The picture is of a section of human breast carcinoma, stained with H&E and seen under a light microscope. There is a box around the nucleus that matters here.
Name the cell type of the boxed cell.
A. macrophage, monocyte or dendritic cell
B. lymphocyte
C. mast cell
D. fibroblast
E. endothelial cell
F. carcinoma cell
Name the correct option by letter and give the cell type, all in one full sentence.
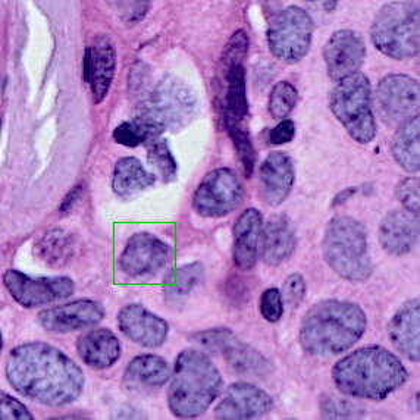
Here the right answer is F, with the boxed cell being a carcinoma cell.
